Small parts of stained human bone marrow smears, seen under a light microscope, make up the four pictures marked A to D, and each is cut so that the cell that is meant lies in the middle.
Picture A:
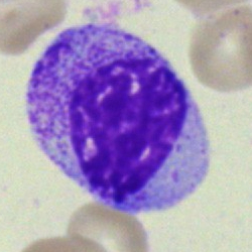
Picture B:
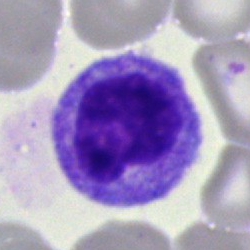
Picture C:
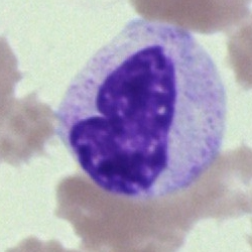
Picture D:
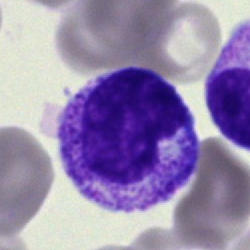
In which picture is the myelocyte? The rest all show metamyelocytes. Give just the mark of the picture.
A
